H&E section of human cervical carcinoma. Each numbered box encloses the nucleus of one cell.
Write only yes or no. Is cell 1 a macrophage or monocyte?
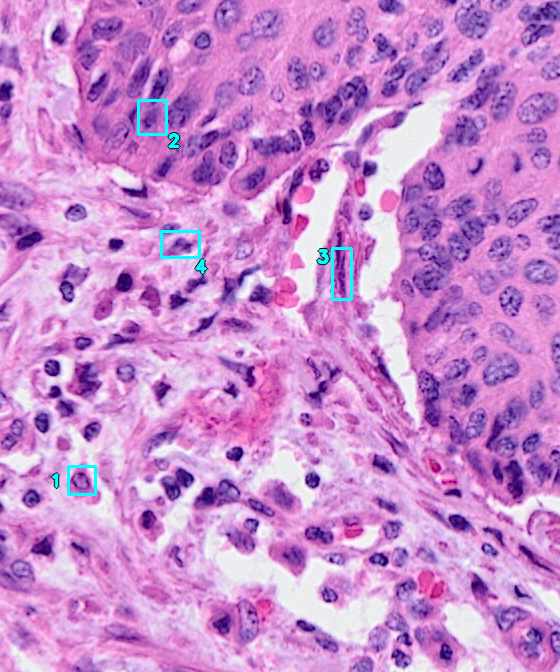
yes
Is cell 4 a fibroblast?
yes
